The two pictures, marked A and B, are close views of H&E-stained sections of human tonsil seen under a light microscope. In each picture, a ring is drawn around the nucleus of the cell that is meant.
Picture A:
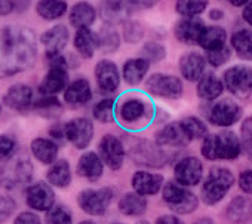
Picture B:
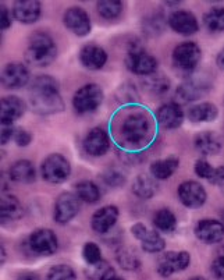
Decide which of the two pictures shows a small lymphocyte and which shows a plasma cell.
A: small lymphocyte
B: plasma cell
